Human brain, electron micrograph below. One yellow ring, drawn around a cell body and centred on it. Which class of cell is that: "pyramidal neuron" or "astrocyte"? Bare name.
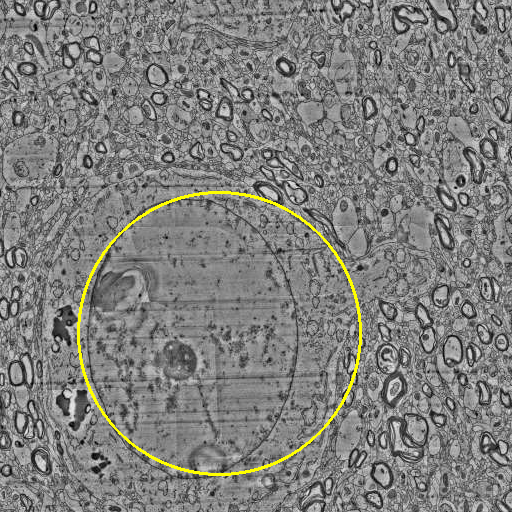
pyramidal neuron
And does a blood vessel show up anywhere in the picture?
No, the picture includes no blood vessel.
